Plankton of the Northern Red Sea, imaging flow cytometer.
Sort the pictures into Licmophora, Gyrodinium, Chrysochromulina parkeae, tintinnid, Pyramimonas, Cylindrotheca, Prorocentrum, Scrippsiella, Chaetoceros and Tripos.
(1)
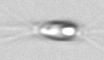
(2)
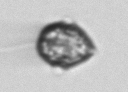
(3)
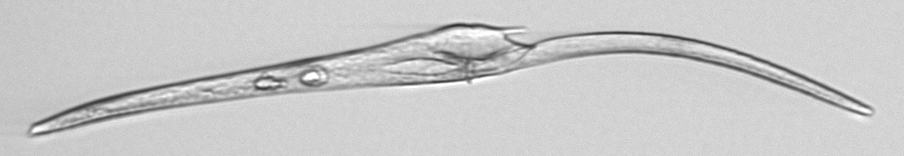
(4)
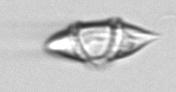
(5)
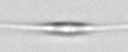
Chrysochromulina parkeae: 1
Scrippsiella: 2
Tripos: 3
Gyrodinium: 4
Cylindrotheca: 5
